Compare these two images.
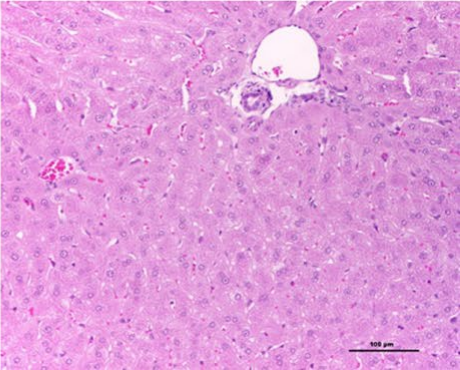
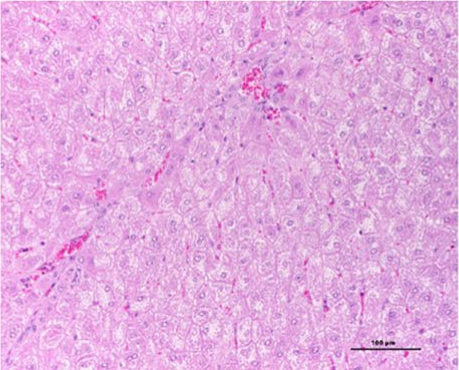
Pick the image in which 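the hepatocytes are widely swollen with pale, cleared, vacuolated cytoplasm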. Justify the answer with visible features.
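First image: hepatocytes have mostly even pink cytoplasm. Second image: nearly all hepatocytes have pale, clear cytoplasm with prominent cell borders.
The second image.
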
